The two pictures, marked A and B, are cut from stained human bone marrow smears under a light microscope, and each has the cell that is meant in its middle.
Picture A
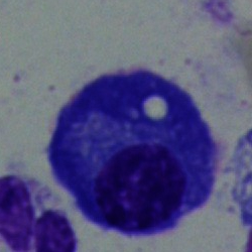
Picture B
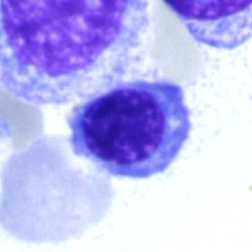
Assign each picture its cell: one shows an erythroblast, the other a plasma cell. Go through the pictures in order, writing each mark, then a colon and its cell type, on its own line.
A: plasma cell
B: erythroblast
